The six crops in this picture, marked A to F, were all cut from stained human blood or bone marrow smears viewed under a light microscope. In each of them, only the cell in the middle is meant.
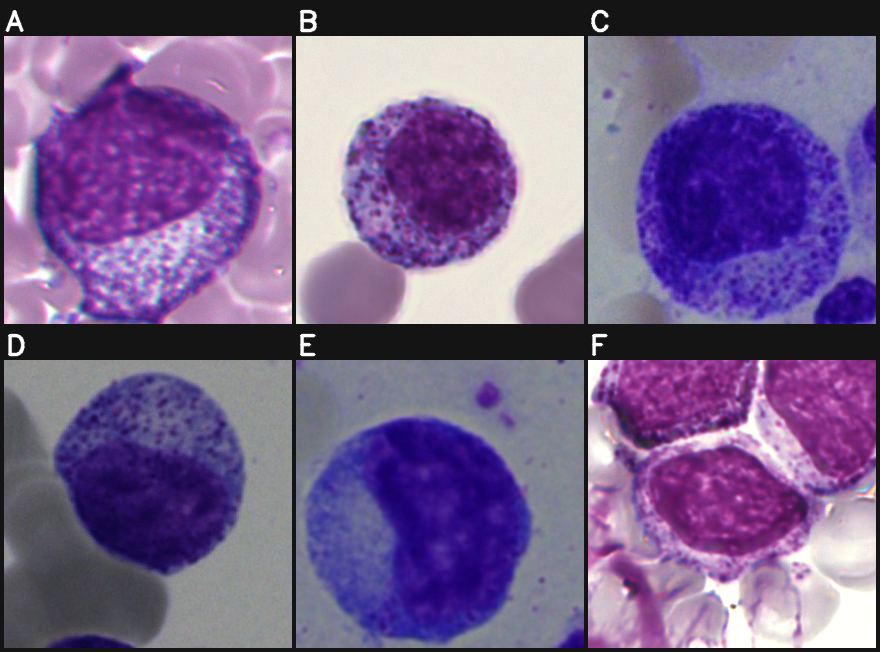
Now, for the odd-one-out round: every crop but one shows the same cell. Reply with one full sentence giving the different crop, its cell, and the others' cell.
Crop F is different, showing a myelocyte, whereas all the others show promyelocytes.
